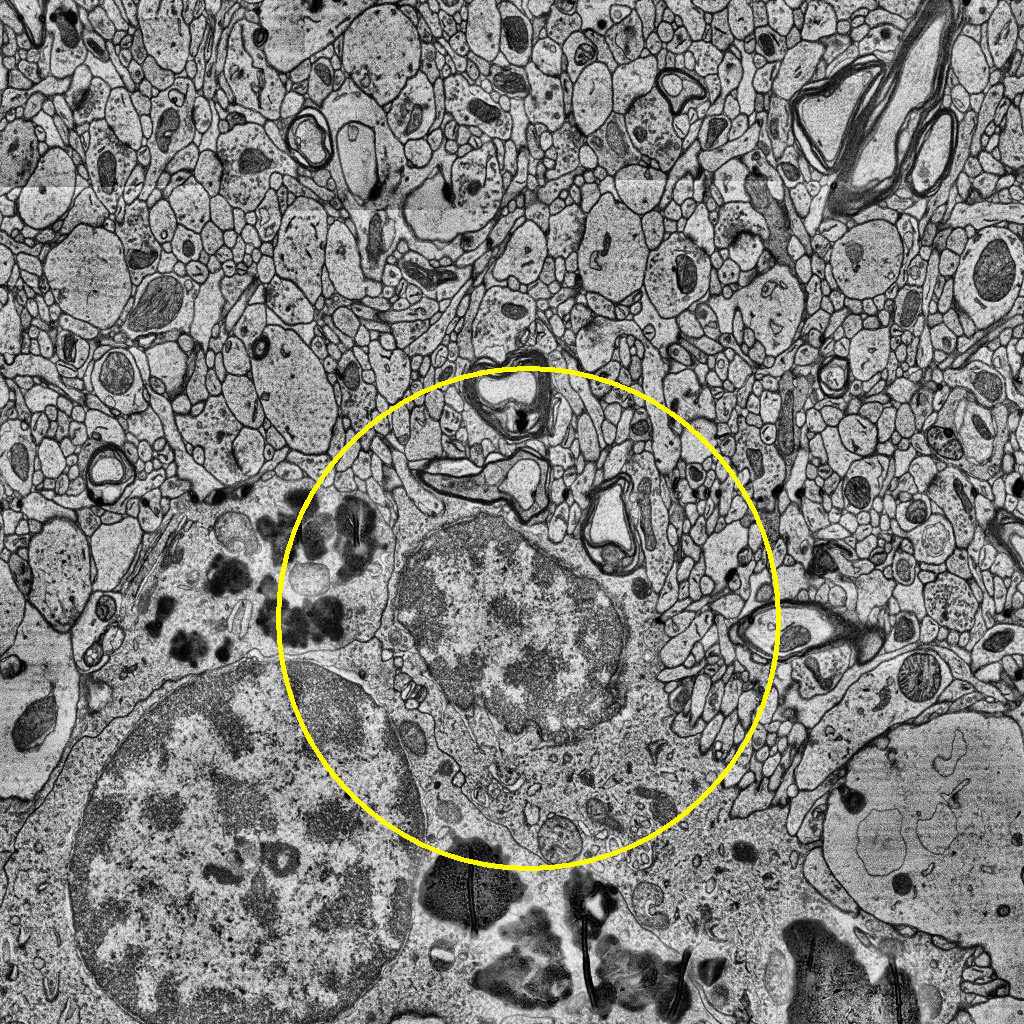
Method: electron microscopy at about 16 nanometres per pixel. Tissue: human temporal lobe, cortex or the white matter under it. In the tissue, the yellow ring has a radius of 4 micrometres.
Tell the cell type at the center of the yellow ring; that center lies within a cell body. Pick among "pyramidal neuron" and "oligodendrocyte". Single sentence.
The ring's center lies in the body of an oligodendrocyte.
